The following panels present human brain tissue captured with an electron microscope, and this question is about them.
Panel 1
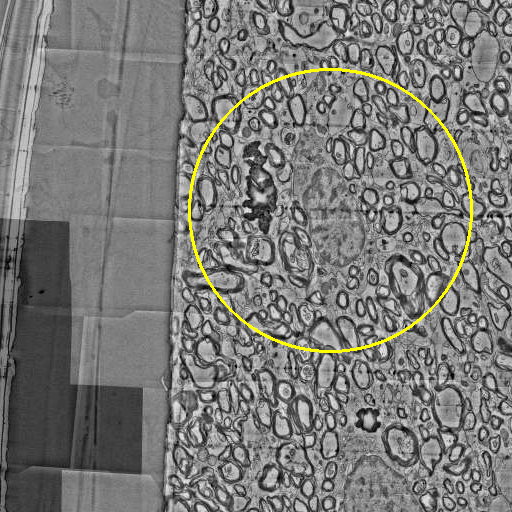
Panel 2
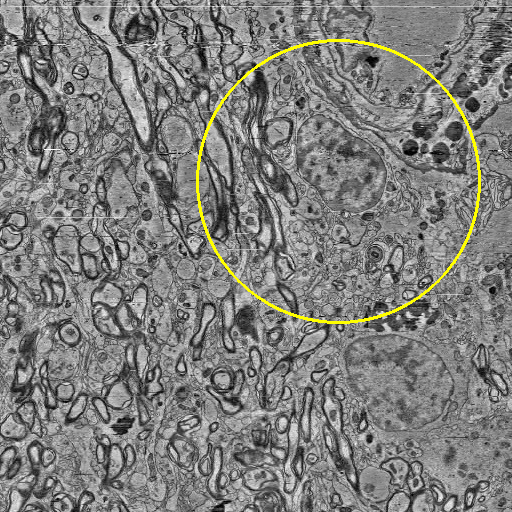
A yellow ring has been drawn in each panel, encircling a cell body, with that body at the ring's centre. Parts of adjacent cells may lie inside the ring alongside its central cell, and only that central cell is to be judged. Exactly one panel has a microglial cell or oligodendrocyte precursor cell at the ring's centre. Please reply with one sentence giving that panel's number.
The ring whose central cell fits the description is the one in panel 2.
